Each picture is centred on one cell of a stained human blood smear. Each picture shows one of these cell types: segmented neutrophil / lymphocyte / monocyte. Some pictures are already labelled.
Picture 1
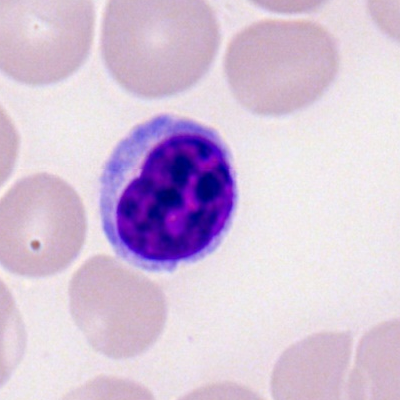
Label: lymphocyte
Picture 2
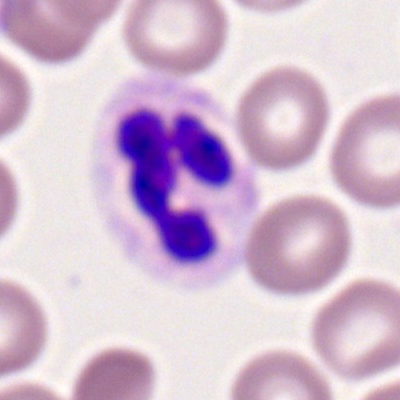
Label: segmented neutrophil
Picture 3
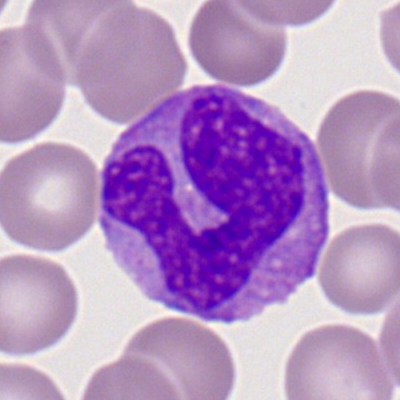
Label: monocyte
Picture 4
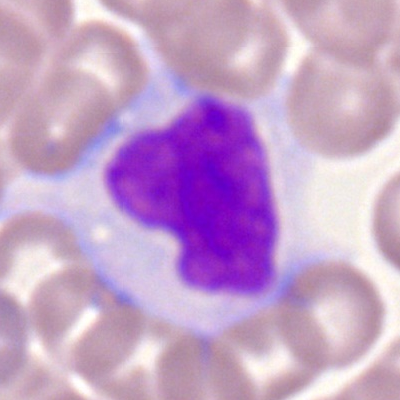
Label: monocyte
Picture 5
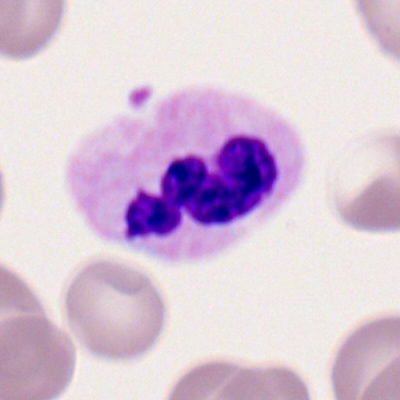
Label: segmented neutrophil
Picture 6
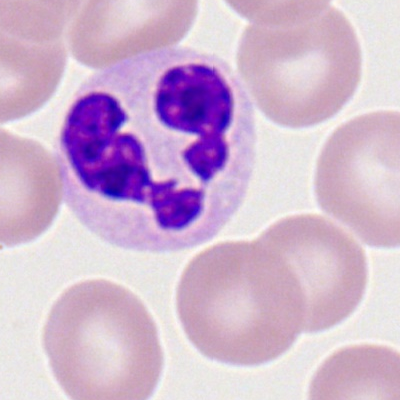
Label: segmented neutrophil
